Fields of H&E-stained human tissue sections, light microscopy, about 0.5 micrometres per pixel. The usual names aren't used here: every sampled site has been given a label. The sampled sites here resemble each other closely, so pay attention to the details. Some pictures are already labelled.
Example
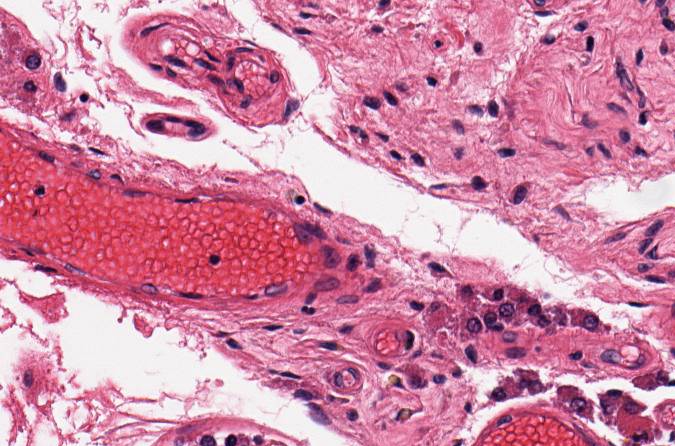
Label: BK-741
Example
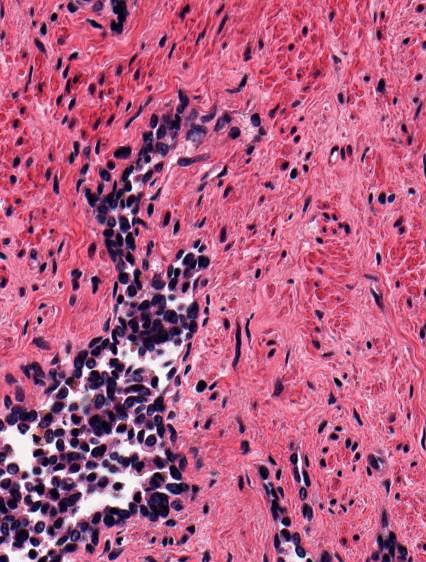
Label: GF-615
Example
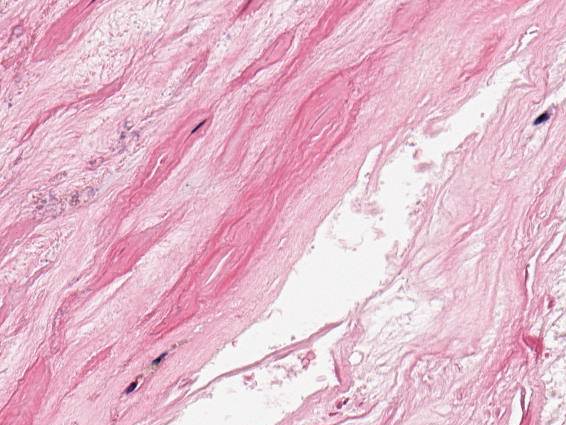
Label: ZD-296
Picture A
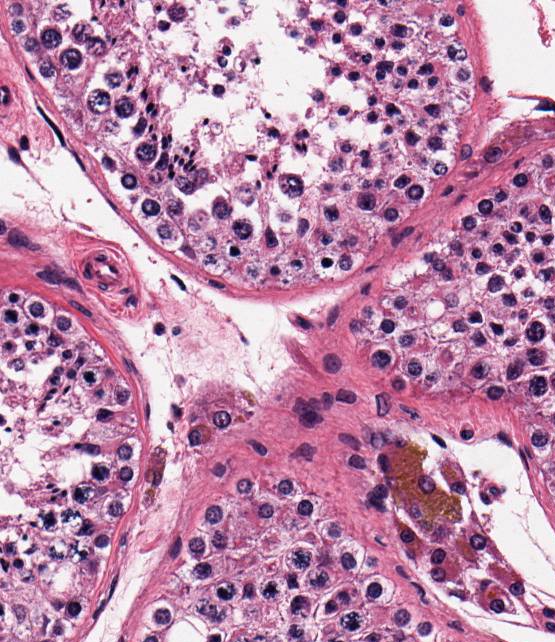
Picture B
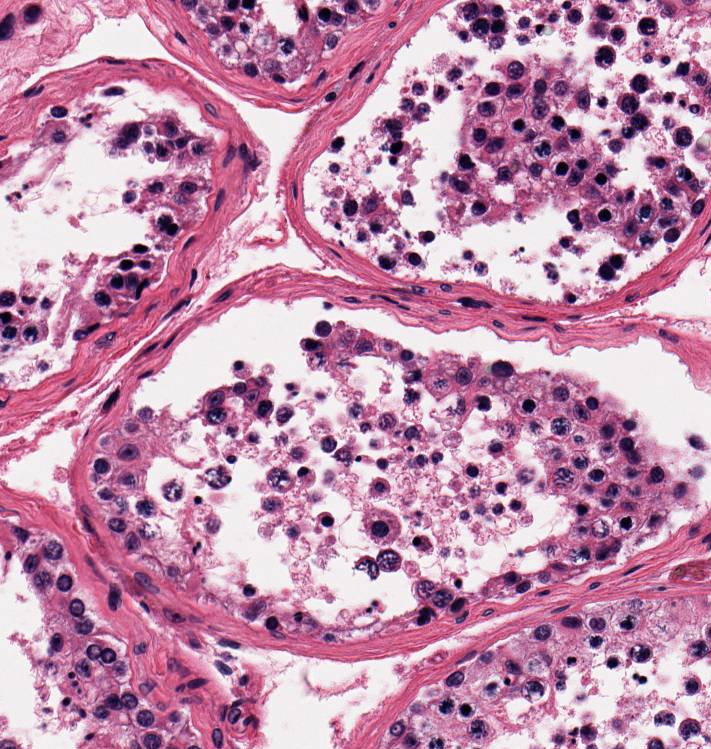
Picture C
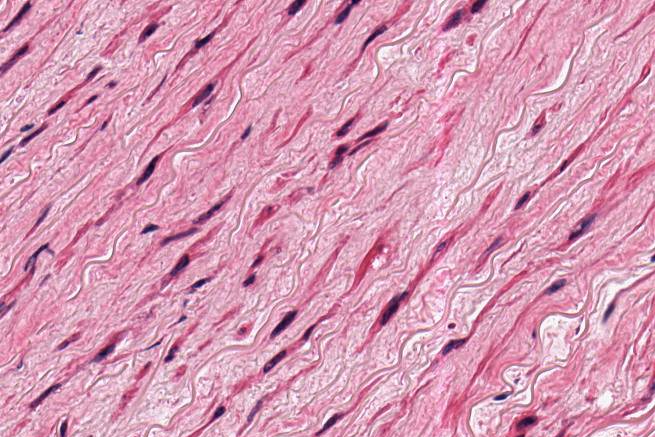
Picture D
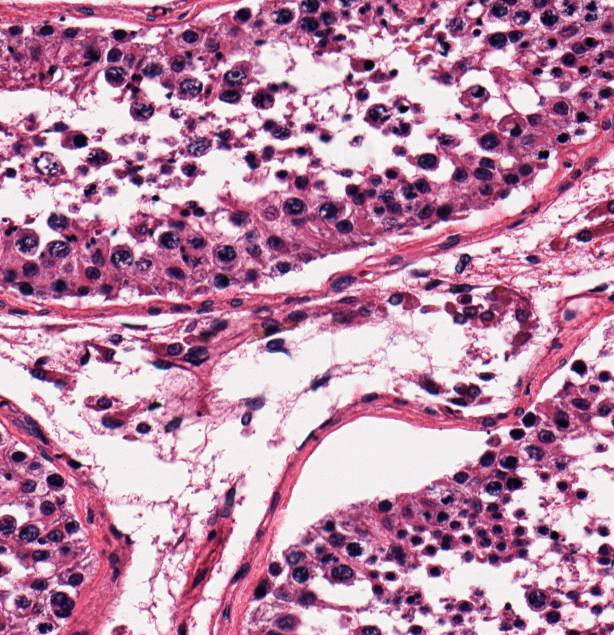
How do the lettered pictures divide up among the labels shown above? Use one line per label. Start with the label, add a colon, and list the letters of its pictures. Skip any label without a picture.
BK-741: A, B, D
ZD-296: C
